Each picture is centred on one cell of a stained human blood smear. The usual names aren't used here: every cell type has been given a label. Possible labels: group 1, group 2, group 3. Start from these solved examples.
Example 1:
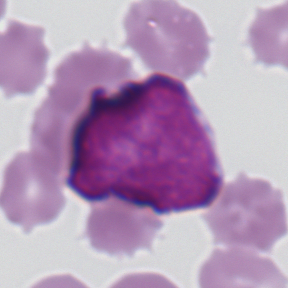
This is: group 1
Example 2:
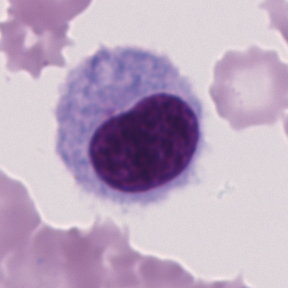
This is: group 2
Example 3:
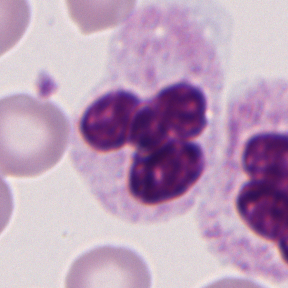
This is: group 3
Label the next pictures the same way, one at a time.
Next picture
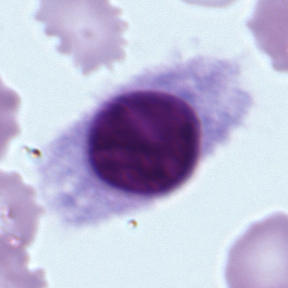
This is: group 2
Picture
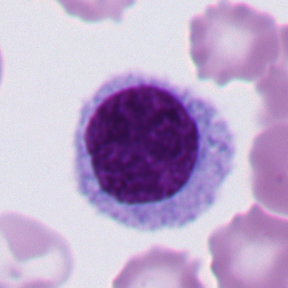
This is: group 2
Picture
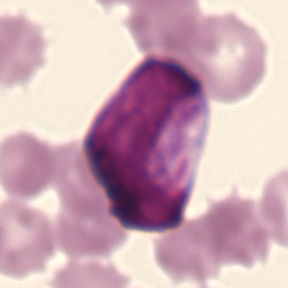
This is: group 1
